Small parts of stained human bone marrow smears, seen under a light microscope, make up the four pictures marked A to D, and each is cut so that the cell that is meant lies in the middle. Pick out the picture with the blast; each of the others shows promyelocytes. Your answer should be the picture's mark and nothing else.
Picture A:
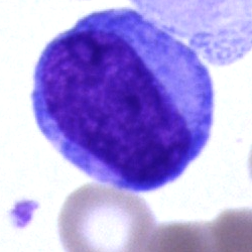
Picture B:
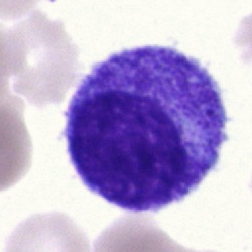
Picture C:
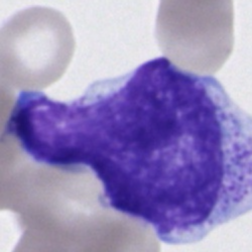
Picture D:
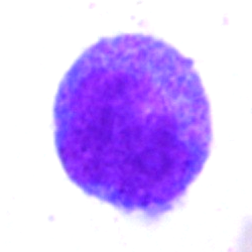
A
